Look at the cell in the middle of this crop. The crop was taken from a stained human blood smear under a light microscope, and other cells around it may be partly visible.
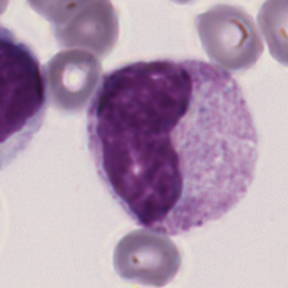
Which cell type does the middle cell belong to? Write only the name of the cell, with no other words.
metamyelocyte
